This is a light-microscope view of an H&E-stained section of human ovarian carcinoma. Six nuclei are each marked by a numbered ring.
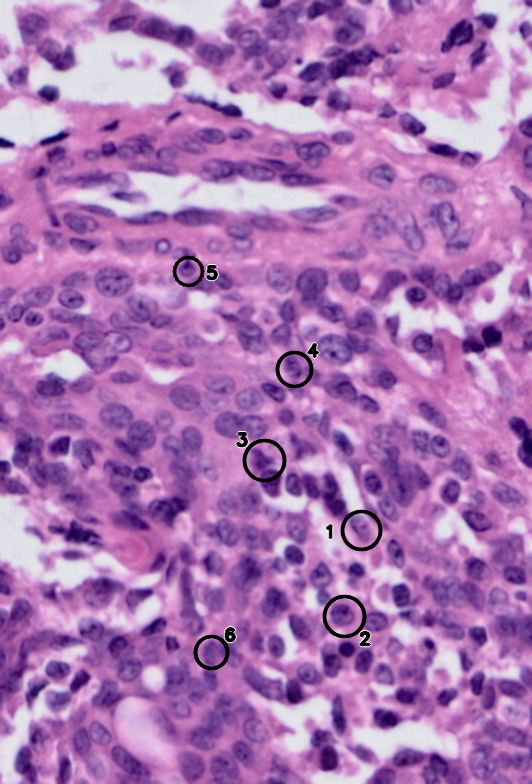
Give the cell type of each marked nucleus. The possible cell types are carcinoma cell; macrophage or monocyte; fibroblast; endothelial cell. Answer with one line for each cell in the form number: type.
1: macrophage or monocyte
2: macrophage or monocyte
3: carcinoma cell
4: macrophage or monocyte
5: macrophage or monocyte
6: carcinoma cell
